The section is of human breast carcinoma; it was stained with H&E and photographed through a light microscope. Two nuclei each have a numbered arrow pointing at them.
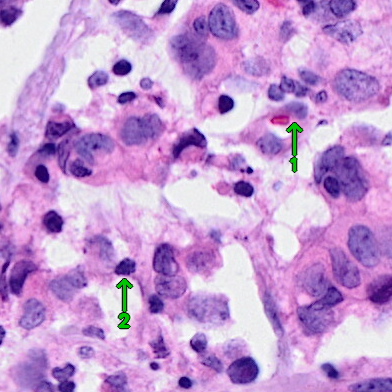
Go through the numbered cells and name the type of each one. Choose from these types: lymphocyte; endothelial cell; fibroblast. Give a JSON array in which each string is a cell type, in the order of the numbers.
["endothelial cell", "lymphocyte"]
